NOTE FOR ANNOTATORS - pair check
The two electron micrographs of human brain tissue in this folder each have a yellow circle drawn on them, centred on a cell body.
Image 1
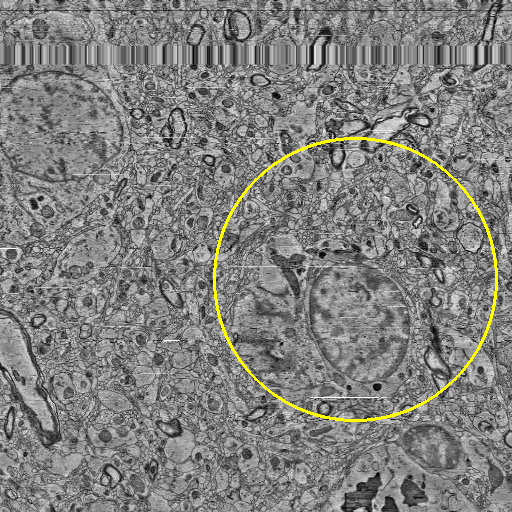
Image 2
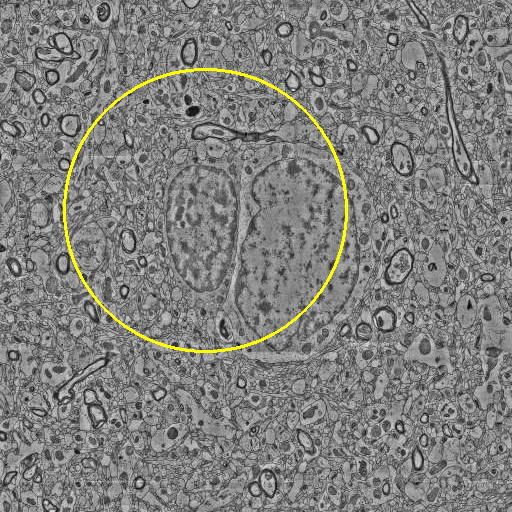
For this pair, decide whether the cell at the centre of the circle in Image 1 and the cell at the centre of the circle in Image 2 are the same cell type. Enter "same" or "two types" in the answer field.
same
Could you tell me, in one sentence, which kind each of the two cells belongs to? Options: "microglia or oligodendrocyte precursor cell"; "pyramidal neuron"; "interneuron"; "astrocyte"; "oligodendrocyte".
Both cells are the same kind, each one being an oligodendrocyte.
